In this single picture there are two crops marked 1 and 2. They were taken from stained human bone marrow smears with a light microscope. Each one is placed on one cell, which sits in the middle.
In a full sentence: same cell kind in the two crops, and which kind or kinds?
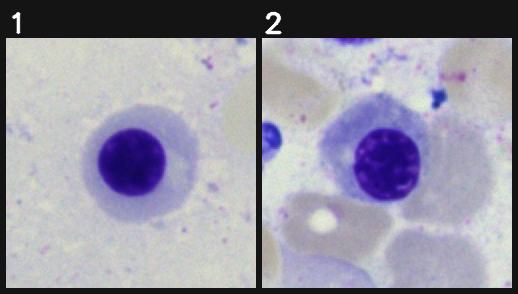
Yes, the cells at the centre of both crops are erythroblasts.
